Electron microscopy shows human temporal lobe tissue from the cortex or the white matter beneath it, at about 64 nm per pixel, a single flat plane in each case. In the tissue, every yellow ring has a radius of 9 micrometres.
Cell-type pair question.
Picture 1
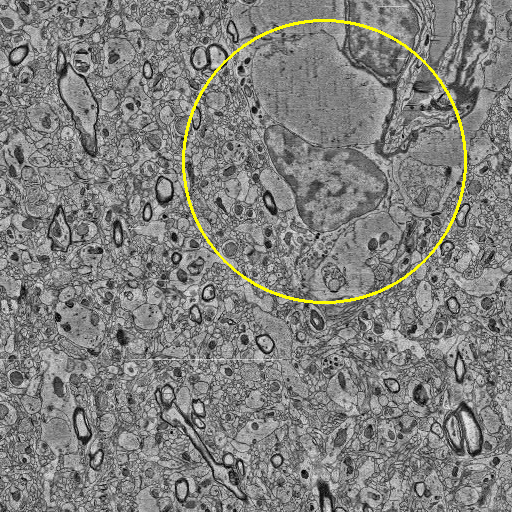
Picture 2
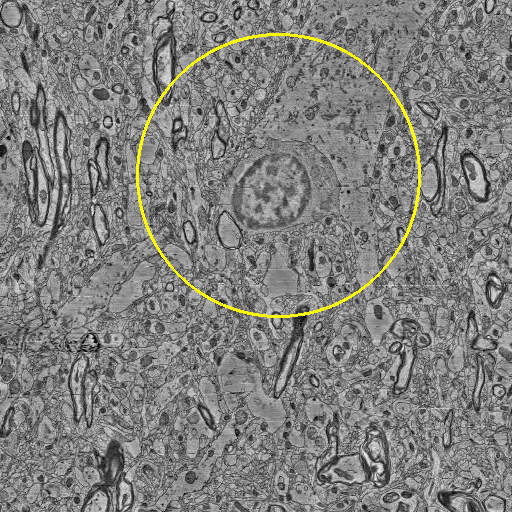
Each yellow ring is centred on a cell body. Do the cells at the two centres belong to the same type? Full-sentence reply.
No, the two cells belong to two types.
